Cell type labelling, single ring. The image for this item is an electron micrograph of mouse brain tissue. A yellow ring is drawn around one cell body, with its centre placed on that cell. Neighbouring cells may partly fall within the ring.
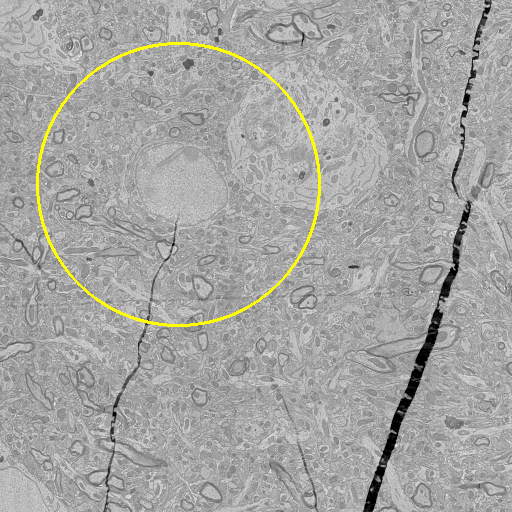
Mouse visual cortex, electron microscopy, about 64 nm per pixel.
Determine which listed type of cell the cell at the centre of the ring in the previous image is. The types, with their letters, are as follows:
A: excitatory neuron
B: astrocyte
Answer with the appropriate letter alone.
B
